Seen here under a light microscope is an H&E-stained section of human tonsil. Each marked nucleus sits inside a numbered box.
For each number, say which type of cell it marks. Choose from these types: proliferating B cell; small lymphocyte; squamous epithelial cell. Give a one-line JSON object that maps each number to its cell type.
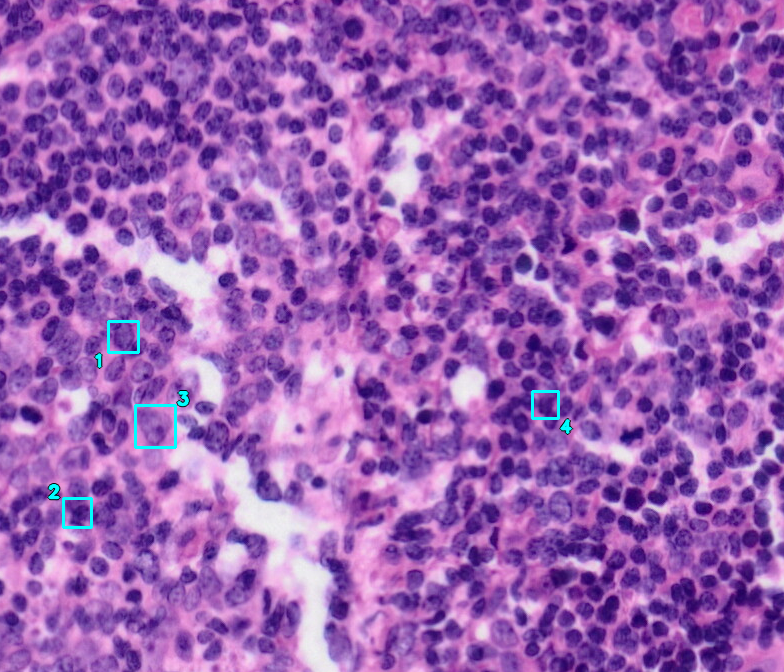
{"1": "proliferating B cell", "2": "proliferating B cell", "3": "proliferating B cell", "4": "small lymphocyte"}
